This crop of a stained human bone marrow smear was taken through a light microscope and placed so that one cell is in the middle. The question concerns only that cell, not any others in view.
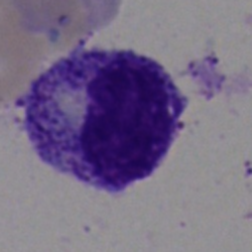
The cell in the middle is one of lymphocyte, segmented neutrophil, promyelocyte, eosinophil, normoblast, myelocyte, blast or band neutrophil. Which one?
myelocyte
